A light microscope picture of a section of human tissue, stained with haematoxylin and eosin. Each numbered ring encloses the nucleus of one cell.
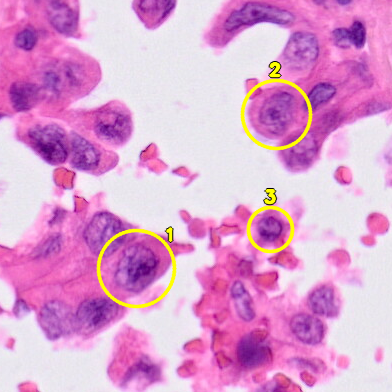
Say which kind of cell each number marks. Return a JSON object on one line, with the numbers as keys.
{"1": "carcinoma cell", "2": "carcinoma cell", "3": "macrophage or monocyte"}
